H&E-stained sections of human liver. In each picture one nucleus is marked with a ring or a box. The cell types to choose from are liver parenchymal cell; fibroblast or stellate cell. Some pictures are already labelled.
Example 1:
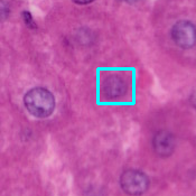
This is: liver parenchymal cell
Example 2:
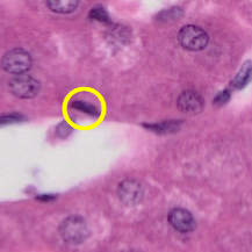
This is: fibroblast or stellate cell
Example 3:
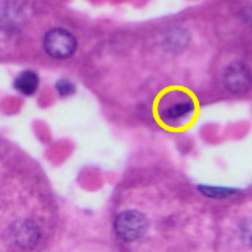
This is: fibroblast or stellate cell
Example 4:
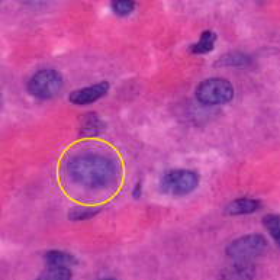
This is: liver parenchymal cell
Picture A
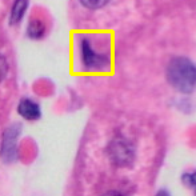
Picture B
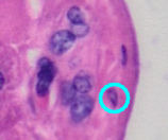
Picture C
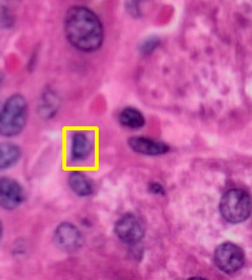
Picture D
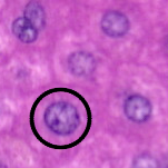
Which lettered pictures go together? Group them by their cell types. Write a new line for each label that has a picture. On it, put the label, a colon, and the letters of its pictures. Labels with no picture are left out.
liver parenchymal cell: D
fibroblast or stellate cell: A, B, C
